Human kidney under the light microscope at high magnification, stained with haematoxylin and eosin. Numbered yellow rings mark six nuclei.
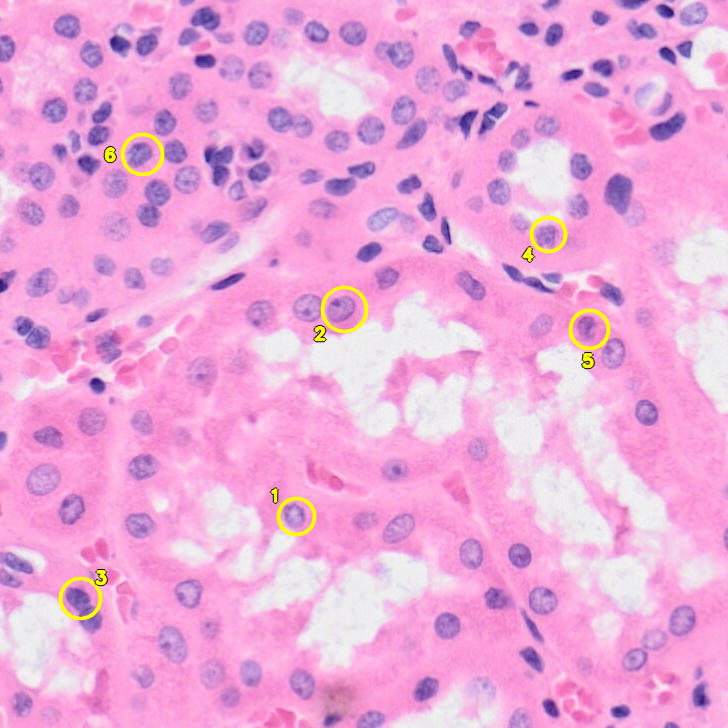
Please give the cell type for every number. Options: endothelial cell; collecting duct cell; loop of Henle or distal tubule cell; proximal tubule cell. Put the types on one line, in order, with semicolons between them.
proximal tubule cell; proximal tubule cell; loop of Henle or distal tubule cell; loop of Henle or distal tubule cell; proximal tubule cell; loop of Henle or distal tubule cell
